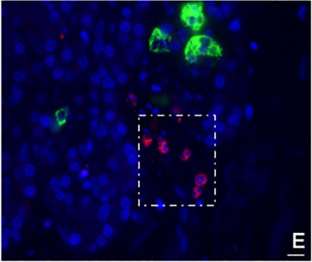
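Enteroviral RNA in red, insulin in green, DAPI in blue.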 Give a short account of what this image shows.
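This section of pancreas shows many blue nuclei spread through the tissue, with a few scattered cells marked in red. Several round cells inside a dashed box carry dense granular red signal over and around their nuclei. A few green-filled cells lie apart near the top of the field, and one smaller green cell lies to the left. Most of the tissue around them shows only blue nuclei without red or green.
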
